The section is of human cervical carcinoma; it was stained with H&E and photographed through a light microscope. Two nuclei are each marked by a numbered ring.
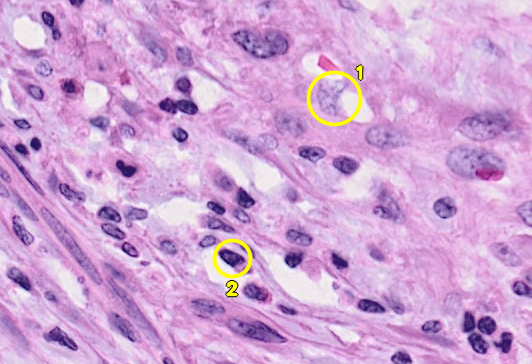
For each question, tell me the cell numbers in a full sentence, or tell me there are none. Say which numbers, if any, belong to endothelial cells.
Among all the marked cells, an endothelial cell is found only at number 1.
